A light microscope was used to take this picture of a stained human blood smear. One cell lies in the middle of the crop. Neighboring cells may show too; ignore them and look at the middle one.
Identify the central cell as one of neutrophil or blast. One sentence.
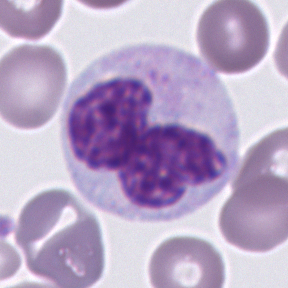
Present in the middle of the crop is a neutrophil.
